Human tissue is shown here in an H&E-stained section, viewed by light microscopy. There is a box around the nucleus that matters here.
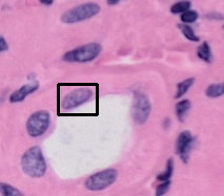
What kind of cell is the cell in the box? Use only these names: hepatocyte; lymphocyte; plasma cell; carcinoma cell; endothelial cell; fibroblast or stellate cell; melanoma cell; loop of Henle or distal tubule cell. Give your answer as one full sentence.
Microscopically, the cell in the box is categorized as a loop of Henle or distal tubule cell.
